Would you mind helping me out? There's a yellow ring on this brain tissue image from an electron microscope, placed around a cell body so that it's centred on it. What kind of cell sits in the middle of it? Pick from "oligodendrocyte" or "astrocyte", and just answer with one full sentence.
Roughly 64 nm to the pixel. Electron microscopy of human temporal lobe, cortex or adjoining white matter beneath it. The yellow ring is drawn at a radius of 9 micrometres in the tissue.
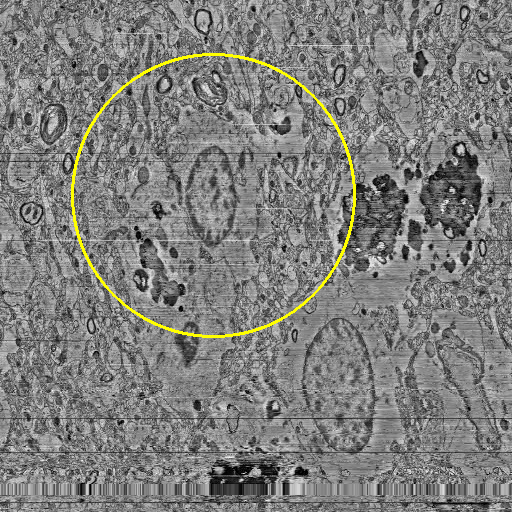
What sits in the middle of that yellow ring is an astrocyte, from your choices.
